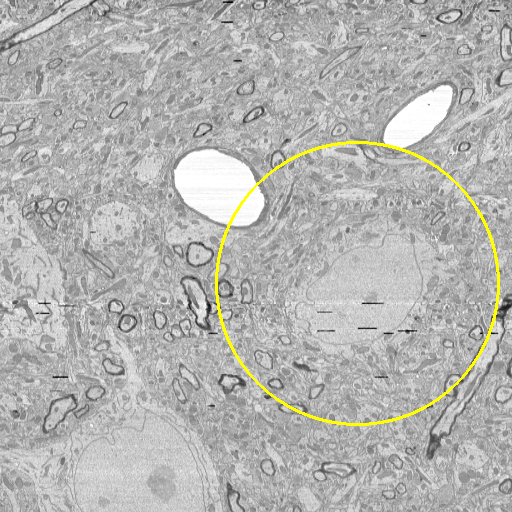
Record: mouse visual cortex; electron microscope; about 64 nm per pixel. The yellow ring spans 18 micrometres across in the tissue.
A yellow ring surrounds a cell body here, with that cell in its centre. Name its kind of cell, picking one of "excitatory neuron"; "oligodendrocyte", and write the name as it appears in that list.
excitatory neuron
